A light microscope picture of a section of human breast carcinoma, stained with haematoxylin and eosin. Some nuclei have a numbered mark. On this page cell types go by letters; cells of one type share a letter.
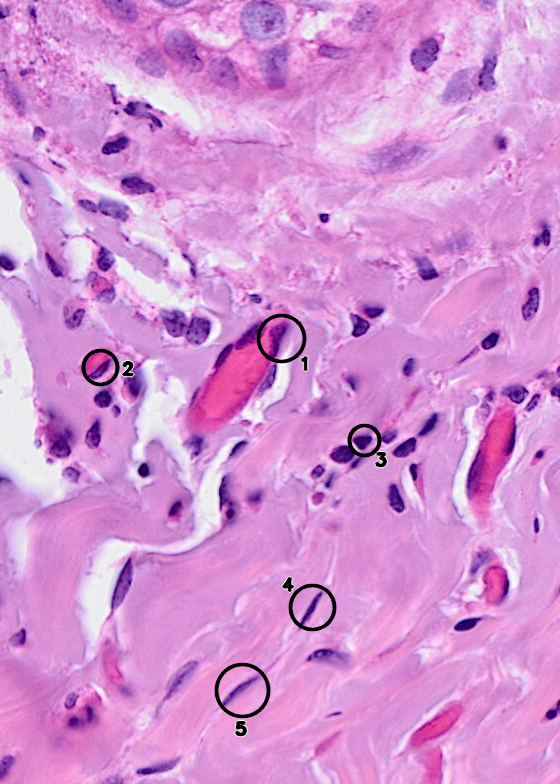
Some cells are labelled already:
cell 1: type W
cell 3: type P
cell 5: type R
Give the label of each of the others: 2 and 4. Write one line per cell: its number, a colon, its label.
2: type W
4: type R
